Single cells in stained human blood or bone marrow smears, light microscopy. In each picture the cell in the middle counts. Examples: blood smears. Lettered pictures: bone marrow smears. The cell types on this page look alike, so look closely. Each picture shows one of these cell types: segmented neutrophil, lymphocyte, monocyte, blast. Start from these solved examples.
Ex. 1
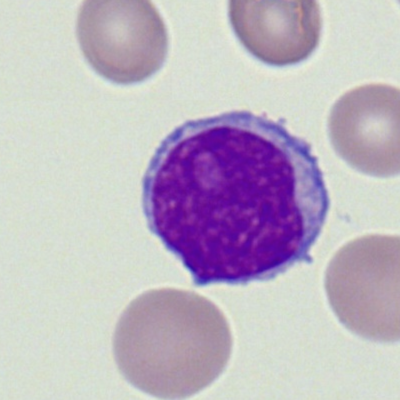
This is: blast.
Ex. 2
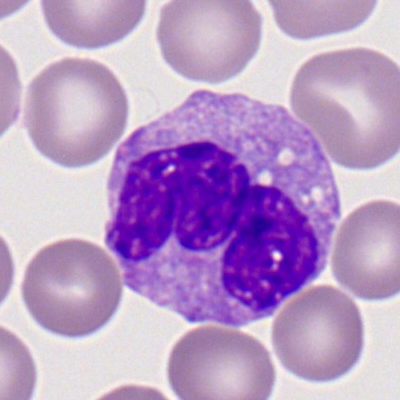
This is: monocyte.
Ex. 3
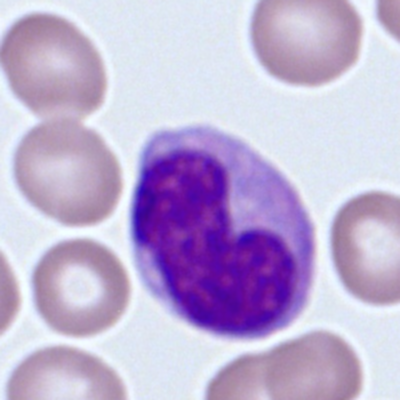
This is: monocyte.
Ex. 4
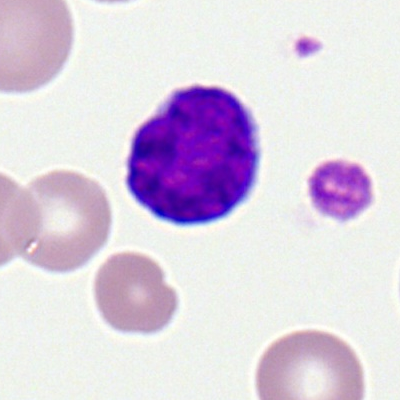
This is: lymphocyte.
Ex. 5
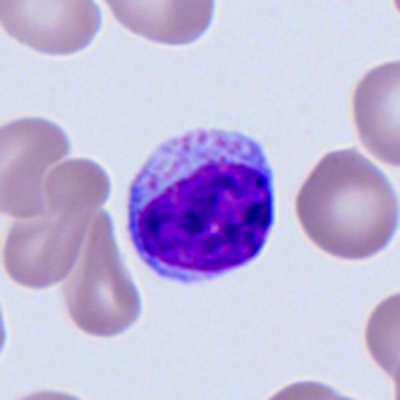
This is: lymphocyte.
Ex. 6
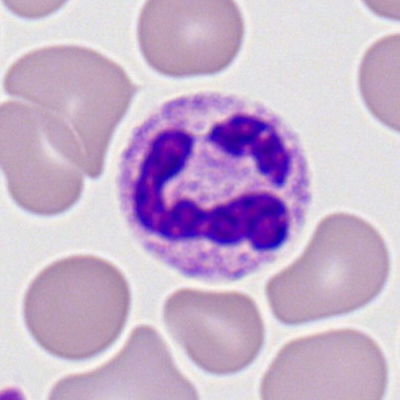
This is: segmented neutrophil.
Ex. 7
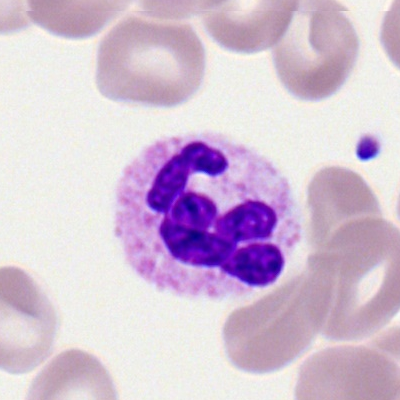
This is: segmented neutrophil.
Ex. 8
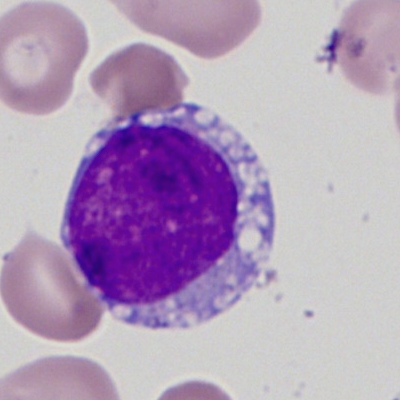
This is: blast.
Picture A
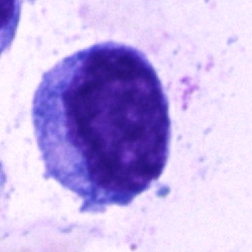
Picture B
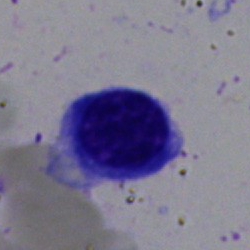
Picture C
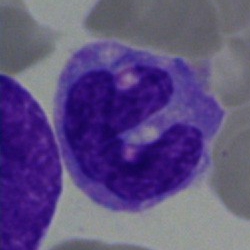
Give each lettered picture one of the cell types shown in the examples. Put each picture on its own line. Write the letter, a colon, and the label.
A: blast.
B: lymphocyte.
C: monocyte.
